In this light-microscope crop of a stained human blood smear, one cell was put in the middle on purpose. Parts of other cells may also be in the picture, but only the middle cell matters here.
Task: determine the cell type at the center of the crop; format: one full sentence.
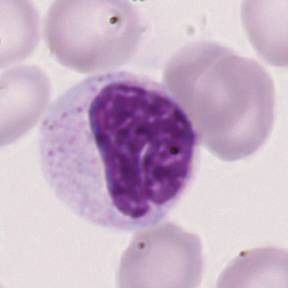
As for the cell in the middle, it is a band neutrophil.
